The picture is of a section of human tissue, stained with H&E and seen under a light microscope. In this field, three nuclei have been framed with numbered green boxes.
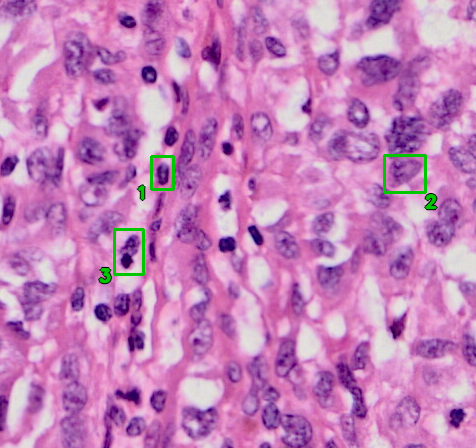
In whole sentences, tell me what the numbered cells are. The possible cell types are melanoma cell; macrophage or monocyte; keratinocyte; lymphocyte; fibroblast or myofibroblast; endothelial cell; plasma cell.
Cell 1 is a lymphocyte, cell 2 is a melanoma cell and cell 3 is a lymphocyte.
